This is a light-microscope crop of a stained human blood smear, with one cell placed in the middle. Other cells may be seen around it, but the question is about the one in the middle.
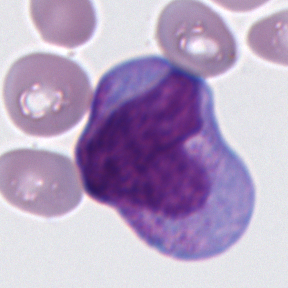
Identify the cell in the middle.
atypical promyelocyte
